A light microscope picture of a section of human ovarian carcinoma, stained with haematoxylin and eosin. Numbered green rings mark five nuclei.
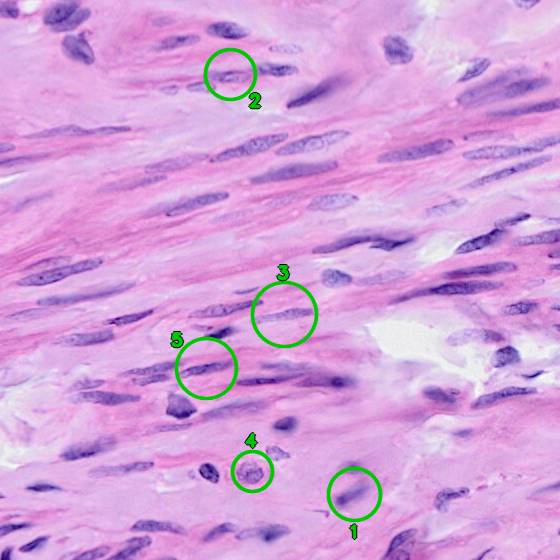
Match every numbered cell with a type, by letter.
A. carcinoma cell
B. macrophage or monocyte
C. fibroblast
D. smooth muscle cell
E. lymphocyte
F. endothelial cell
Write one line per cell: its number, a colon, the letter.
1: C
2: D
3: D
4: F
5: D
